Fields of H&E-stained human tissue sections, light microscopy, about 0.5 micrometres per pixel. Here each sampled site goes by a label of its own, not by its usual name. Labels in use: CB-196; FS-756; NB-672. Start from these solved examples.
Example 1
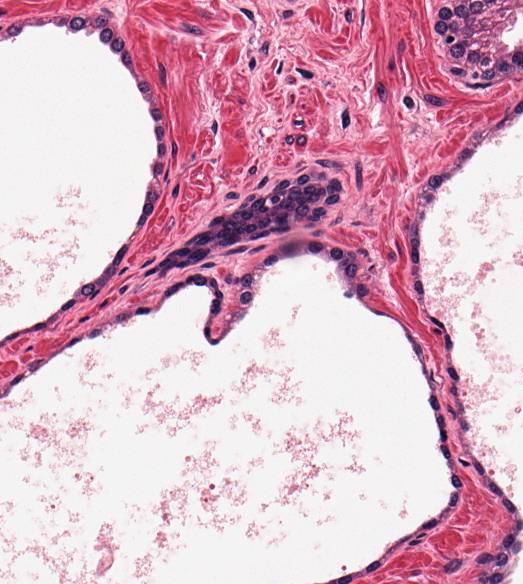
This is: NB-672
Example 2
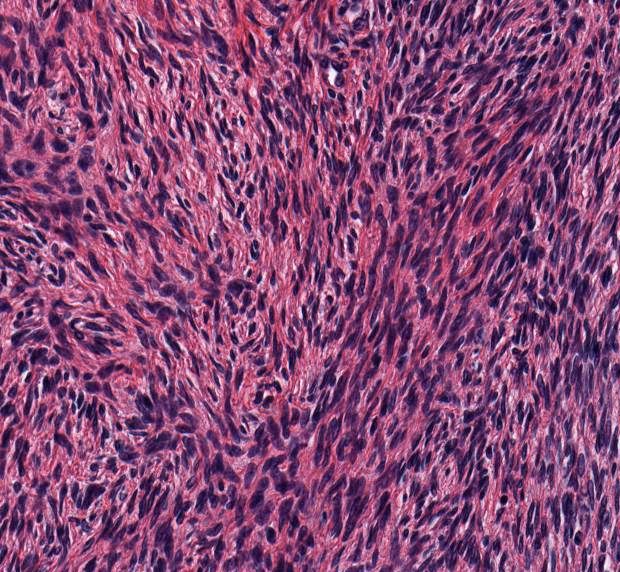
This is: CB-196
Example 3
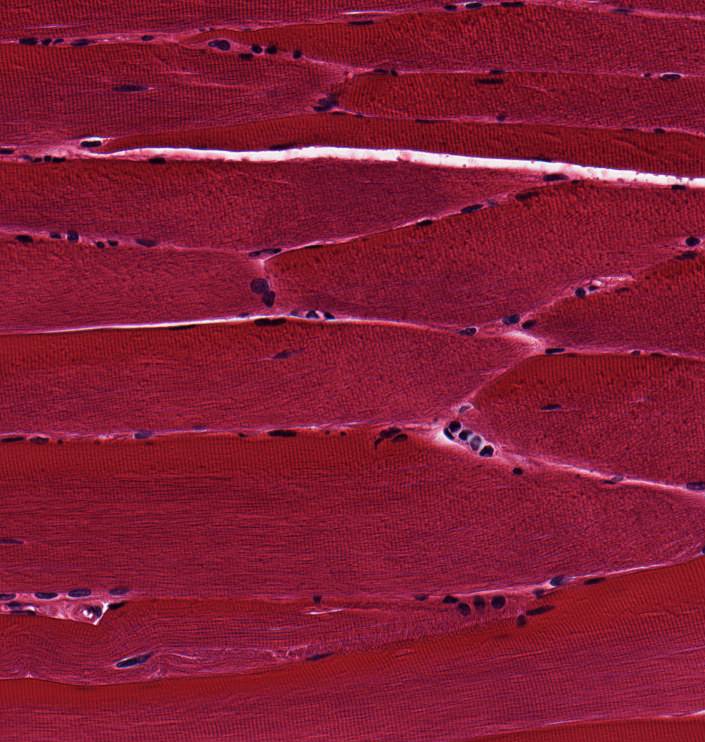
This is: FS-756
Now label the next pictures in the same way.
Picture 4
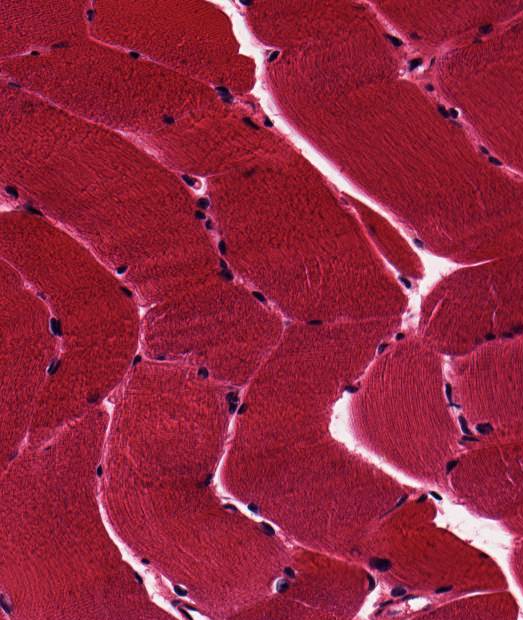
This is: FS-756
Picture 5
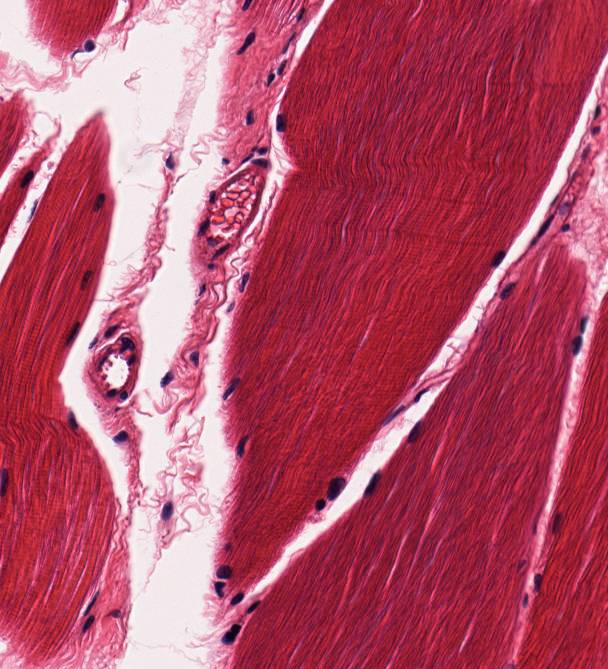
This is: FS-756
